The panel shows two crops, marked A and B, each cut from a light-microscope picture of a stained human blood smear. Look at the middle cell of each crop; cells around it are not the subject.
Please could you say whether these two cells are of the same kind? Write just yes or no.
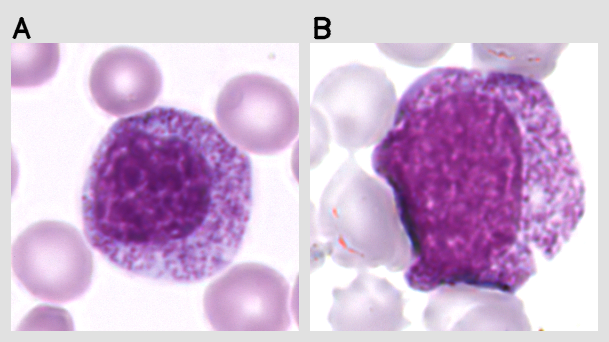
no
